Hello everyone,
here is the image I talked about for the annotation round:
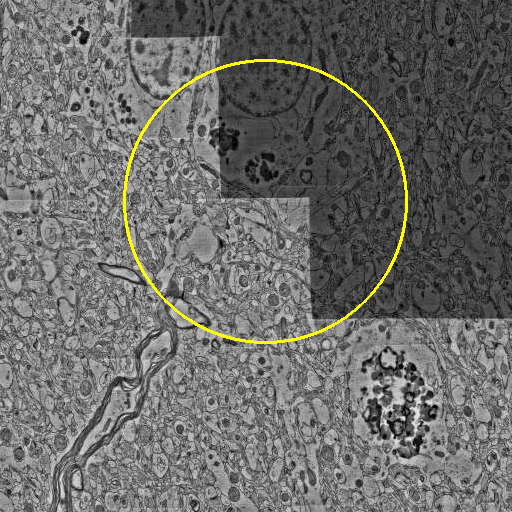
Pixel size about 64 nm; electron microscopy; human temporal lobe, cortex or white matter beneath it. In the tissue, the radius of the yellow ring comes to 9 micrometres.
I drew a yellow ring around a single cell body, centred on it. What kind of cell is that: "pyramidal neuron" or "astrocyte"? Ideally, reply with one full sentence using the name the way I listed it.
The cell your yellow ring is centred on is an astrocyte, going by your list.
